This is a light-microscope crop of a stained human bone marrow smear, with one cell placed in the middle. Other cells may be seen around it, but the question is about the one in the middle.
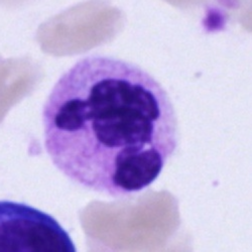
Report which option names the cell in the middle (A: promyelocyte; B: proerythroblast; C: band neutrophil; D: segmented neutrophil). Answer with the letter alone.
D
